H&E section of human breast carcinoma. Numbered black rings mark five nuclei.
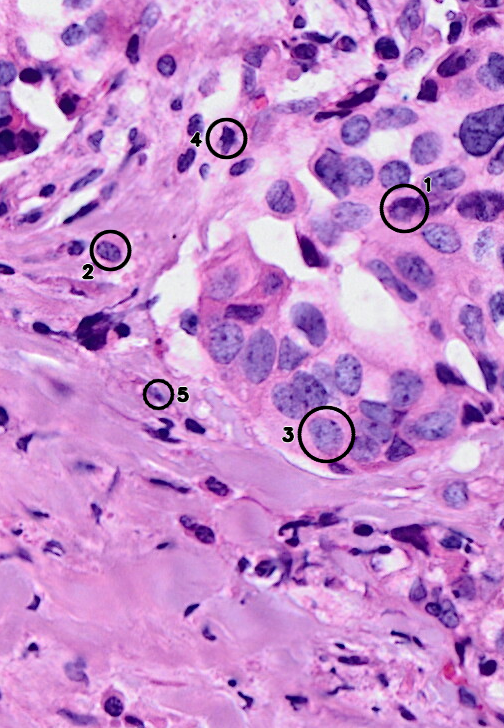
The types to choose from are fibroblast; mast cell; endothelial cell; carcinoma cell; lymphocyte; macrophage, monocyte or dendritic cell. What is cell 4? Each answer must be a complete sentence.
The cell that goes by number 4 is a lymphocyte.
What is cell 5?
The cell marked with number 5 is a fibroblast.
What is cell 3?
Cell 3 of the marked set is a carcinoma cell.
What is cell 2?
The numbered cell 2 is identified here as a mast cell.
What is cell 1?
To a carcinoma cell belongs the nucleus marked 1.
